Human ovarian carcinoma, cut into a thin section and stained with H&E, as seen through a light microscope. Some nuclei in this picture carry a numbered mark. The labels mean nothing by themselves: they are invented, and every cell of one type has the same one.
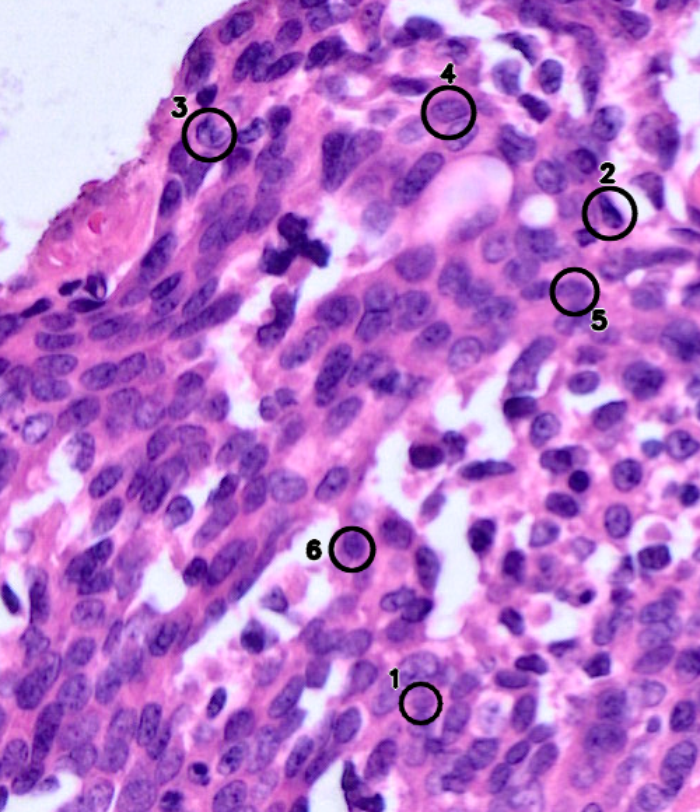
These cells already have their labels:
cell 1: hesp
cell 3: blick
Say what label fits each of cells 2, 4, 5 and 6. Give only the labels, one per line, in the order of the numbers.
blick
hesp
hesp
hesp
